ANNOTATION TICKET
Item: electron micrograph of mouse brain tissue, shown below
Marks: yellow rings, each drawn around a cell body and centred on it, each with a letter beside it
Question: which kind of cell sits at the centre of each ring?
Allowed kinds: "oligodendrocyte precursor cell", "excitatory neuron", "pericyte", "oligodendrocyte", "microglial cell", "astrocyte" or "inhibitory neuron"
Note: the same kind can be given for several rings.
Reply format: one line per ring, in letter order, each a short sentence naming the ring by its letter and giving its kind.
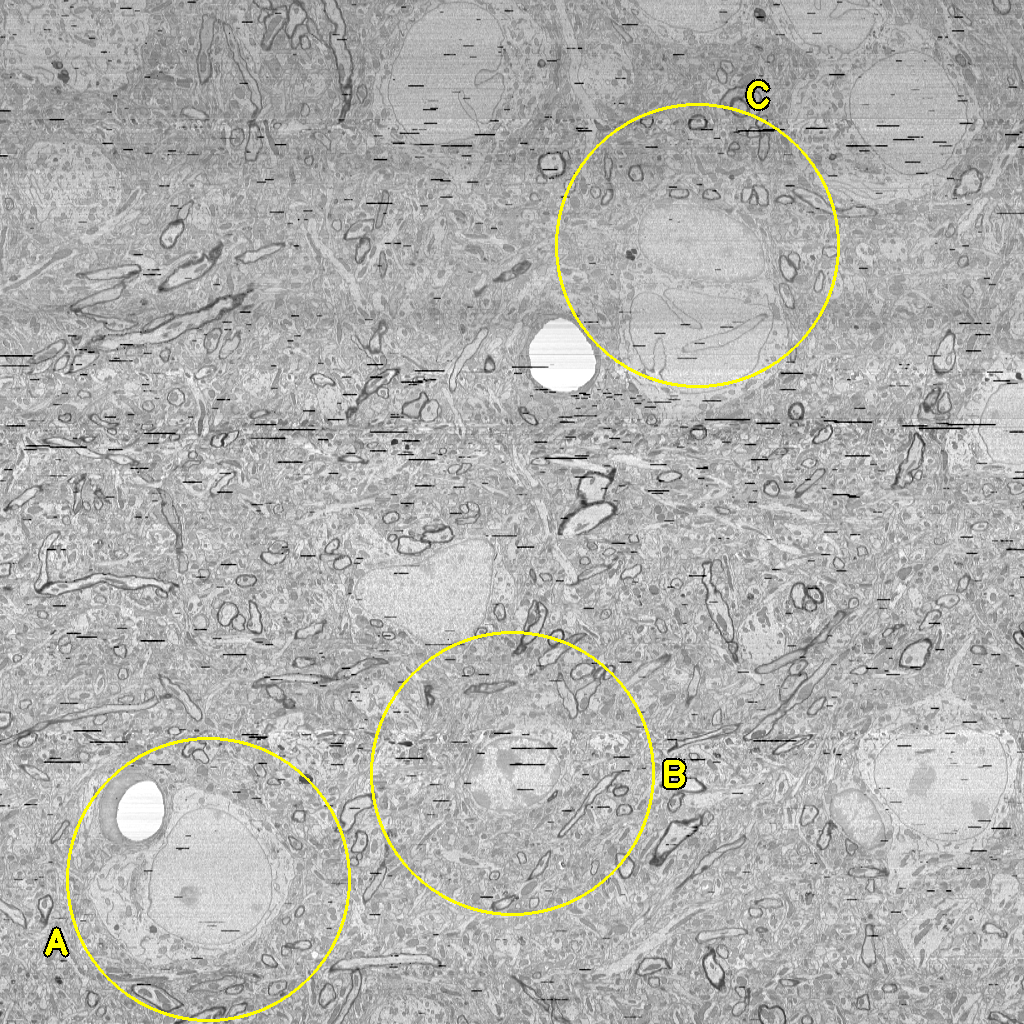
The cell at the centre of ring A is an excitatory neuron.
The cell at the centre of ring B is an oligodendrocyte.
The cell at the centre of ring C is an astrocyte.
